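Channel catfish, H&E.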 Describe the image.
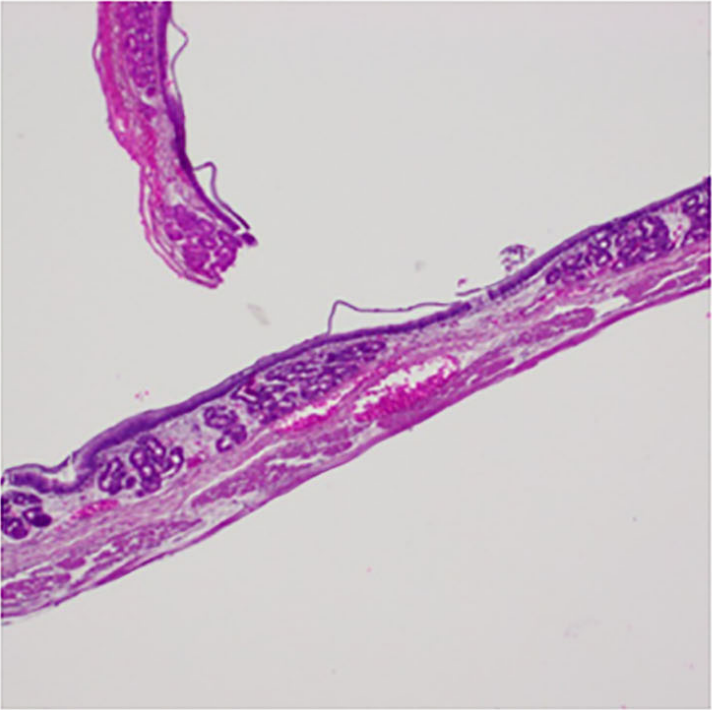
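This thin strip of stomach wall shows a mucosa packed with clusters of rounded, deeply purple gastric glands lying just beneath a thin surface epithelium. Beneath the glands lies paler pink connective and muscular tissue containing a blood vessel filled with red blood cells.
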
